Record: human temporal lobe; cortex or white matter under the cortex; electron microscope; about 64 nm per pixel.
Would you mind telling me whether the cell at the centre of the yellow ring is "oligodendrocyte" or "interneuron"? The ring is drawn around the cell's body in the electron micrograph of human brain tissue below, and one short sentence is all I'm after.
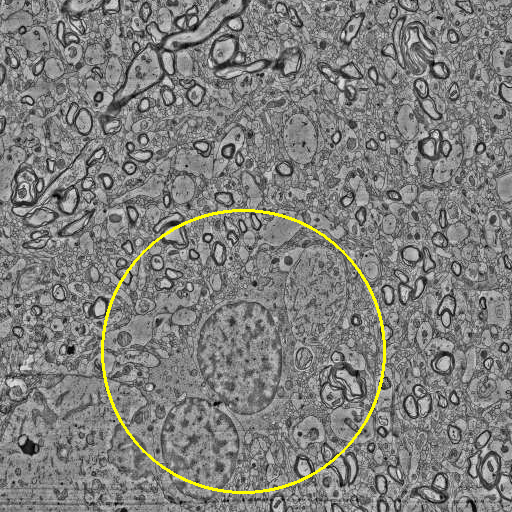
In the centre of the ring lies an oligodendrocyte.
